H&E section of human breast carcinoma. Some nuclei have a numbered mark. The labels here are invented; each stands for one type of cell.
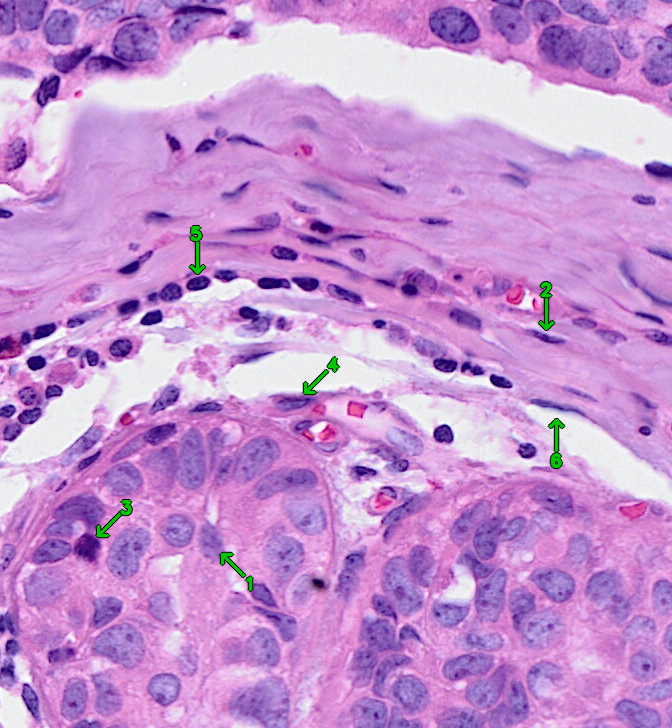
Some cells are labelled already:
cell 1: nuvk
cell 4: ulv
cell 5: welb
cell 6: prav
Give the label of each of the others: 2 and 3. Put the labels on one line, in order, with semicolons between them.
prav; nuvk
